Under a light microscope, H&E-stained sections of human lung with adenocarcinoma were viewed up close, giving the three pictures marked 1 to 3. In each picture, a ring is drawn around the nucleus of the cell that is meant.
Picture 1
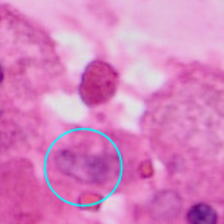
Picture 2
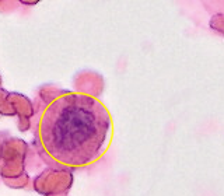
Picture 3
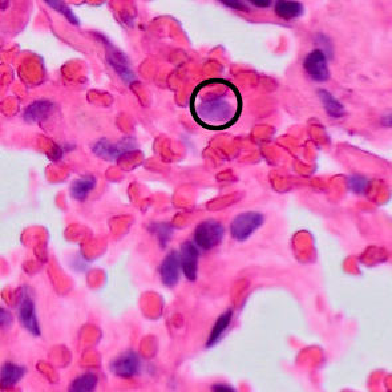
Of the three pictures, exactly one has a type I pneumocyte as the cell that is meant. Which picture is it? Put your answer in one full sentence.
Picture 3 is the one that shows the type I pneumocyte.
